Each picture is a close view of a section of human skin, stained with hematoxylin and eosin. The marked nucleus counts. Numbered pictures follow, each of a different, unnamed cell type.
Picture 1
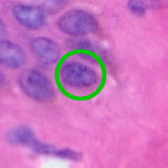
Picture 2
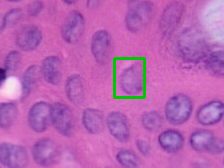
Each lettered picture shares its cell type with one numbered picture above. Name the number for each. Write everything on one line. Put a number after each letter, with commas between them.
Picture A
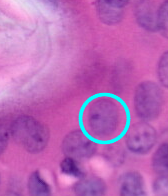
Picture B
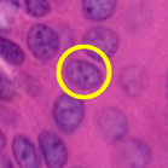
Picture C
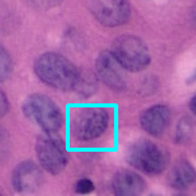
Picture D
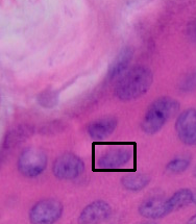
A 2, B 2, C 1, D 2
